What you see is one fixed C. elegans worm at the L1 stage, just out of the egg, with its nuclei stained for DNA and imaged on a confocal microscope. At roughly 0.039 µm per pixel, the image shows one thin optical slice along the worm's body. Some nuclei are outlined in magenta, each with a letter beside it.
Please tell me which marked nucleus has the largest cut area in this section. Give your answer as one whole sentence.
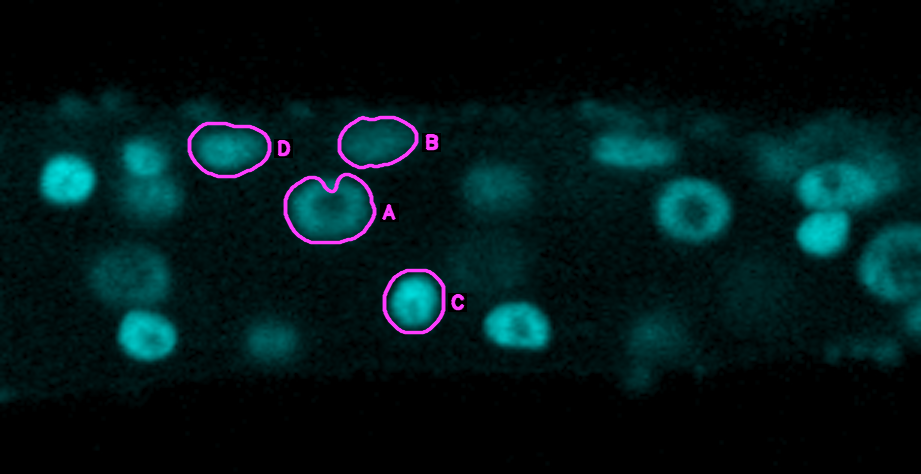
A has the largest area in this section.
